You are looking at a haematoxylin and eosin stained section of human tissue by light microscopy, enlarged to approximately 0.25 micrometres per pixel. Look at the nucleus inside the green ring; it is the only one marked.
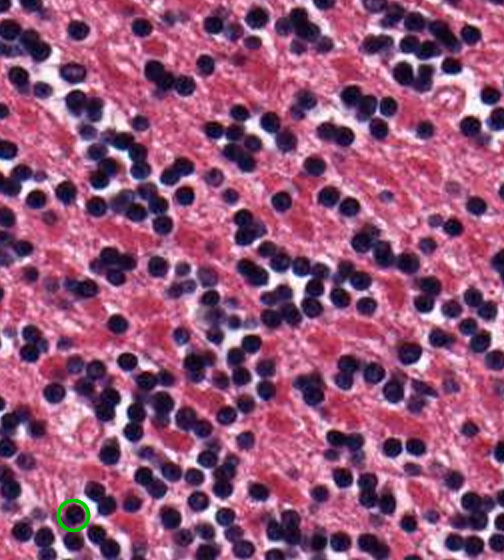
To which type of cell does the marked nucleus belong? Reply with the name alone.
cerebellar granule cell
